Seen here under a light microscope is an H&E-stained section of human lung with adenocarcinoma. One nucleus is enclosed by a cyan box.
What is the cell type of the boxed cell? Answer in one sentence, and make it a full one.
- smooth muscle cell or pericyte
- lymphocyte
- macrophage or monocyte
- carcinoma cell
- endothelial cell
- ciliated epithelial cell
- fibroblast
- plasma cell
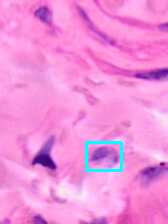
The category to which the boxed cell belongs is that of a fibroblast.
